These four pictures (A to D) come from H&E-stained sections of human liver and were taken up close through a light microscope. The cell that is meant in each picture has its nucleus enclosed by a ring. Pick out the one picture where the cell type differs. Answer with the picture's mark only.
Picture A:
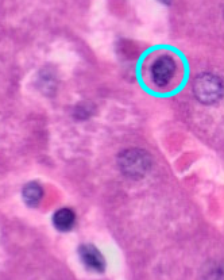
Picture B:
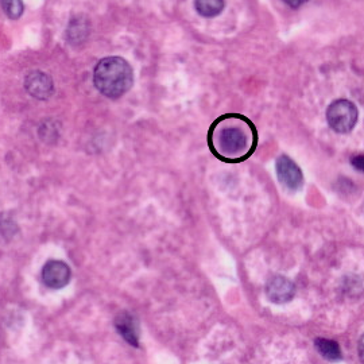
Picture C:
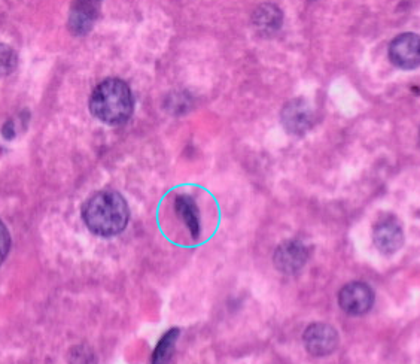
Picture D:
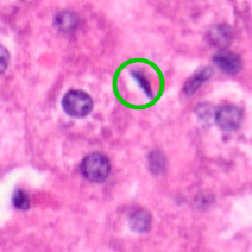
D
